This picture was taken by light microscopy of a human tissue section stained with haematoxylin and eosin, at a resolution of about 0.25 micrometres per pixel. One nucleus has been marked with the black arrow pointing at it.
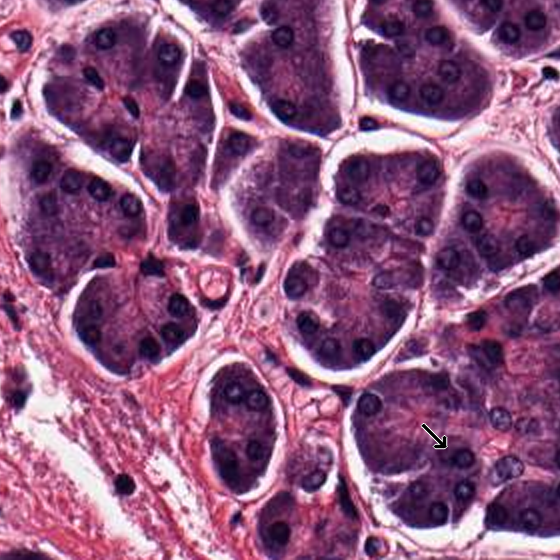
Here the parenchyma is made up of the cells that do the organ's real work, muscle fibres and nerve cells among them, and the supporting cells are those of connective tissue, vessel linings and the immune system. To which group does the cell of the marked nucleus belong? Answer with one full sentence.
It is to a pancreatic acinar cell, a parenchymal cell, that the marked nucleus belongs.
